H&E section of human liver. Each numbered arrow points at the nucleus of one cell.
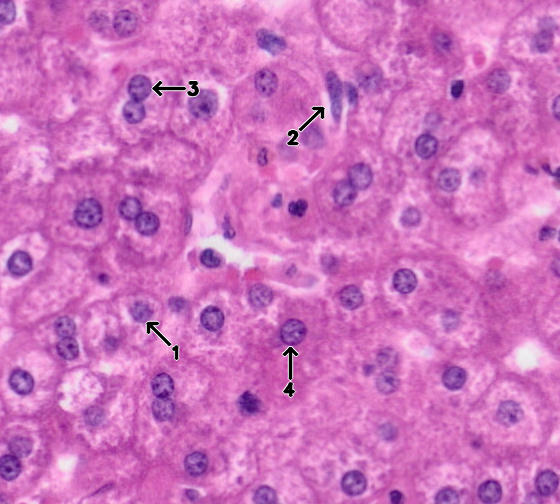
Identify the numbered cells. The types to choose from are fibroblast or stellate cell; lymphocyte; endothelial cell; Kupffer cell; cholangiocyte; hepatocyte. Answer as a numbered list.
1. hepatocyte
2. Kupffer cell
3. hepatocyte
4. hepatocyte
